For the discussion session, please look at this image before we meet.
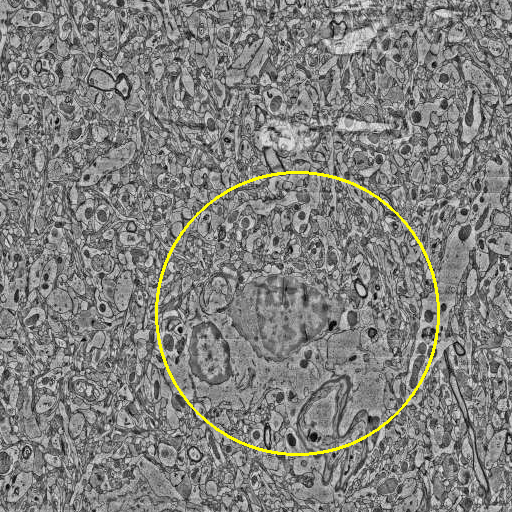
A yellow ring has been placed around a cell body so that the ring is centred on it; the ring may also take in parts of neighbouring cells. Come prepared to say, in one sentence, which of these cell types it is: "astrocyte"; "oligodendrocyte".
The cell centred in the ring is an oligodendrocyte.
